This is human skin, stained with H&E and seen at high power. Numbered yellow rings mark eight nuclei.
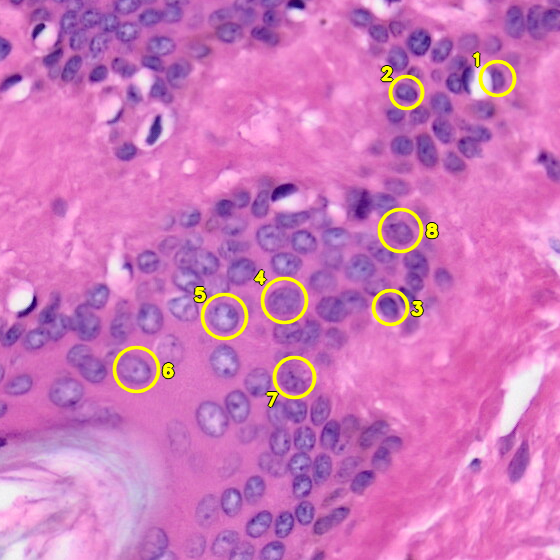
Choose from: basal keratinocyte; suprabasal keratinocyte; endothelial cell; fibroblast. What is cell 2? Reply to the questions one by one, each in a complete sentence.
The nucleus with number 2 is that of a basal keratinocyte.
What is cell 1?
The cell carrying label 1 is identified as a basal keratinocyte.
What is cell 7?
The cell assigned the number 7 is a basal keratinocyte.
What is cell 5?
Numbered cell 5 is a suprabasal keratinocyte in this tissue section.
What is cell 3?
Numbered cell 3 is a basal keratinocyte in this tissue section.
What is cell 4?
Cell 4 of the marked set is a suprabasal keratinocyte.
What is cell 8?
In this section, the cell numbered 8 is a basal keratinocyte.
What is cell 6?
Denoted by the label 6 in the section is a suprabasal keratinocyte.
